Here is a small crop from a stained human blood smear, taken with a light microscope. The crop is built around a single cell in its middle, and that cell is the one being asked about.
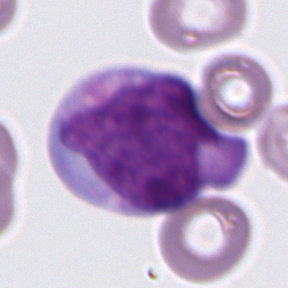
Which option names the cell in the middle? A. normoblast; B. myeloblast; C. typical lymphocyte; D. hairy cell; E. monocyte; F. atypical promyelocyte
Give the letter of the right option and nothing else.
F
